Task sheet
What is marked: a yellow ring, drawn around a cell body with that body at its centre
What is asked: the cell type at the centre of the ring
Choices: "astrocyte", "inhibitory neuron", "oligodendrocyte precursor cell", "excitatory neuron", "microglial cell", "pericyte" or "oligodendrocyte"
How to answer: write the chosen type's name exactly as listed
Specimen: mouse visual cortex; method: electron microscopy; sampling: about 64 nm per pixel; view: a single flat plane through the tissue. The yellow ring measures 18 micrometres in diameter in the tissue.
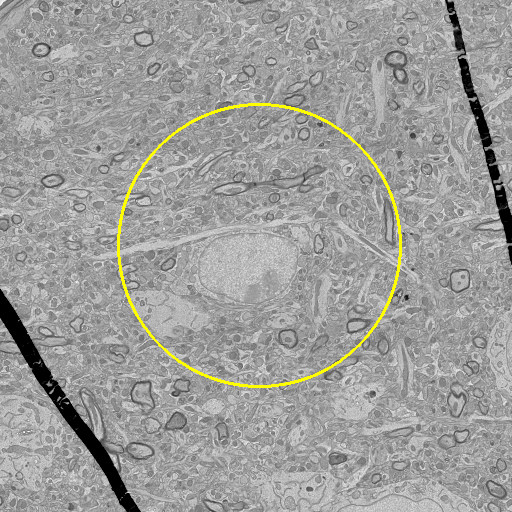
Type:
astrocyte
